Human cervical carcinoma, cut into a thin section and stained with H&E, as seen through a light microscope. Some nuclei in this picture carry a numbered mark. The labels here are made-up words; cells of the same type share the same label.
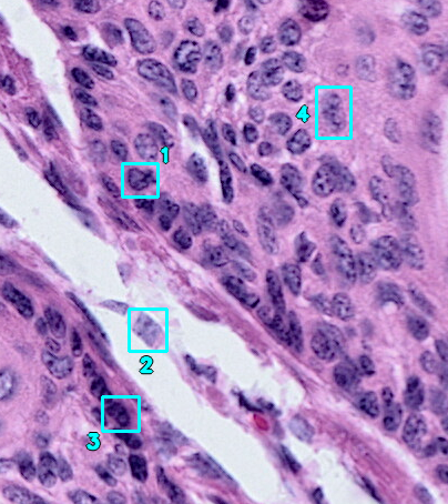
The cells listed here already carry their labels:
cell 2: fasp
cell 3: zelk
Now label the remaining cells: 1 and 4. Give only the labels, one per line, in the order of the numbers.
zelk
zelk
